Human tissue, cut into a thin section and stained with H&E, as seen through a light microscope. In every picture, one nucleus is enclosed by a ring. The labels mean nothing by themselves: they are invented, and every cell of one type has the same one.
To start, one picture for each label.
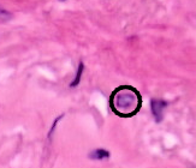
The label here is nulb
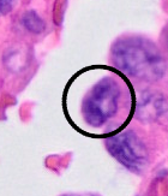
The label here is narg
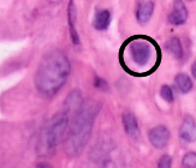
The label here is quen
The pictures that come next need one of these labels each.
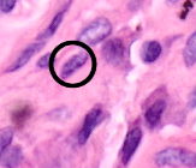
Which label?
nulb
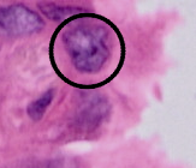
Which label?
narg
